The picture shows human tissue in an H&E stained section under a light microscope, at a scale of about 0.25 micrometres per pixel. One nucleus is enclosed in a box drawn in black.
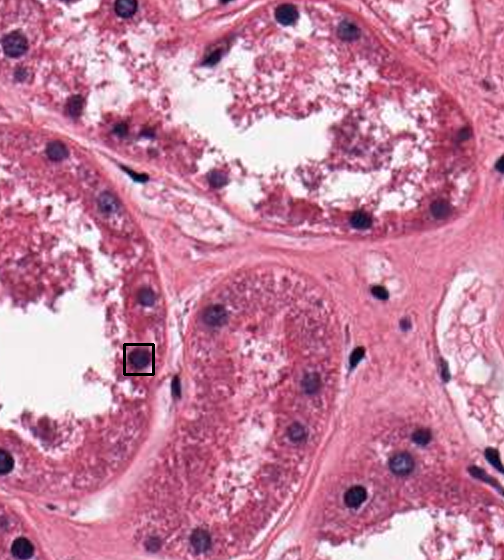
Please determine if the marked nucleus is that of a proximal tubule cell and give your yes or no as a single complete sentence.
Yes, the marked nucleus, as shown, belongs to a proximal tubule cell.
